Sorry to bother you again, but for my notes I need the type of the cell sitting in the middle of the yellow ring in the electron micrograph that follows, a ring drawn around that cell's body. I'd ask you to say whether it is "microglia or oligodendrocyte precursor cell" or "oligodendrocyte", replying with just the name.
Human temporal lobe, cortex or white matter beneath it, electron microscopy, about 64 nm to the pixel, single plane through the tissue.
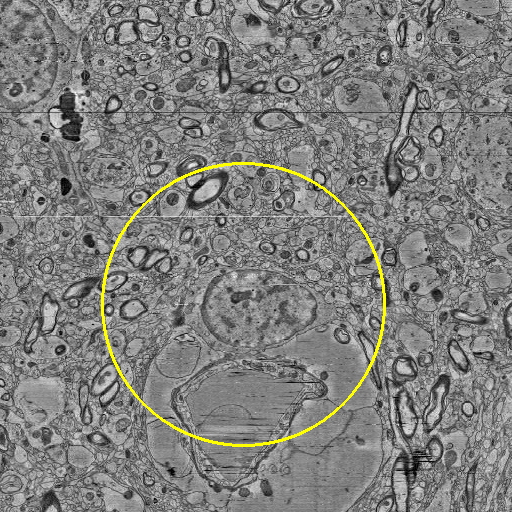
oligodendrocyte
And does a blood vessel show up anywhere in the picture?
Yes, a vessel appears in the picture.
